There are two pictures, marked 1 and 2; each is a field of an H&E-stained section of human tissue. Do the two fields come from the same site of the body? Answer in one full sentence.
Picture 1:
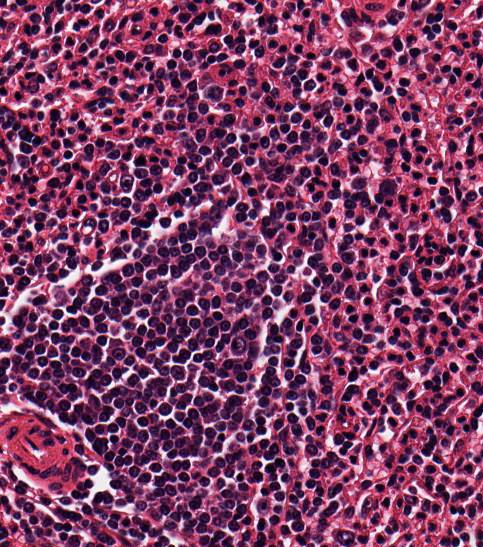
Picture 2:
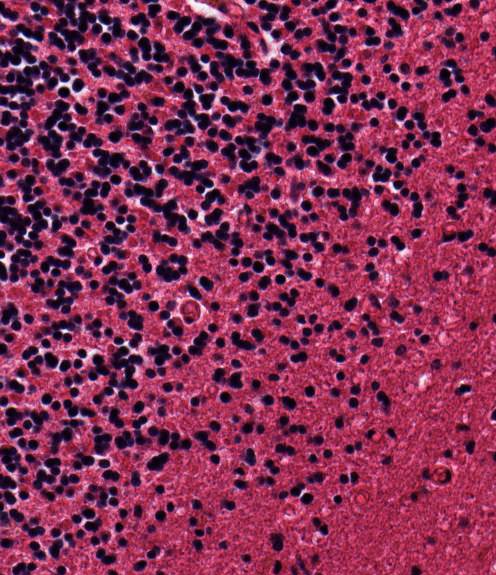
No. Picture 1 comes from the spleen, whereas picture 2 comes from the cerebellum.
